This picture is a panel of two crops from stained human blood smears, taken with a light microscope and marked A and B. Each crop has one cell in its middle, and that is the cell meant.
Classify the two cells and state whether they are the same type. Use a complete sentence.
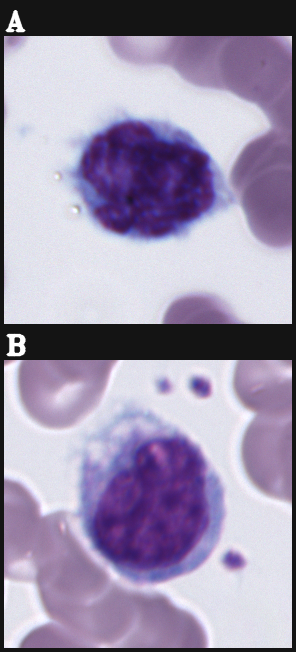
Yes, the central cells in both of the crops are monocytes.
